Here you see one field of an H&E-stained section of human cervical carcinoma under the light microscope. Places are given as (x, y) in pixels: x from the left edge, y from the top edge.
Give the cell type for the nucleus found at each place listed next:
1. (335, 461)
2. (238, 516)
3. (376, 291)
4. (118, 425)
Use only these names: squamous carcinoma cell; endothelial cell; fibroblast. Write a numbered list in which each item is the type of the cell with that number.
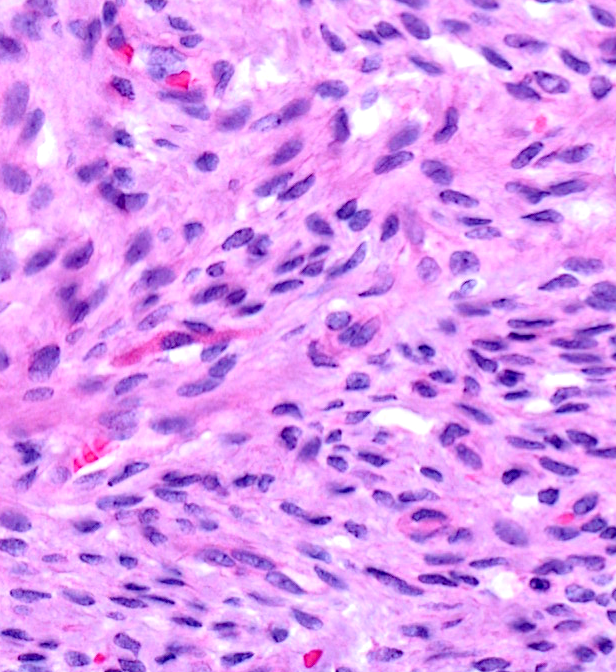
1. fibroblast
2. fibroblast
3. fibroblast
4. endothelial cell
